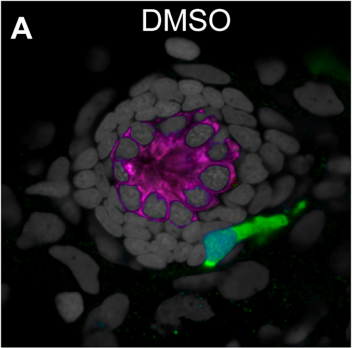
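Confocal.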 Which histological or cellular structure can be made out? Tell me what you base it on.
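Magenta-outlined cells cluster at the centre, surrounded by a ring of gray nuclei.
Conclusion: neuromasts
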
